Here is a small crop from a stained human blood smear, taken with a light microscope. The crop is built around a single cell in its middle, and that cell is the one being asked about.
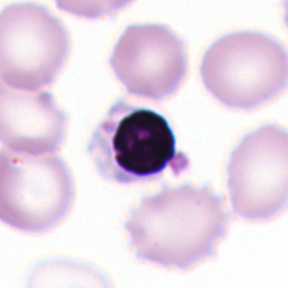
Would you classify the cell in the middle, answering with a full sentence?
Classified as an erythroblast is the cell in the middle of this crop.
